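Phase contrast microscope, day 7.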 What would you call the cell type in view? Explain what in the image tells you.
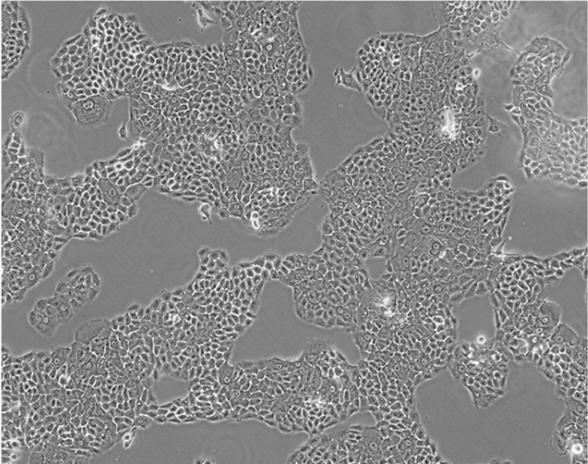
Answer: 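Polygonal cells packed tightly side by side in a cobblestone sheet. Cells grow as irregular confluent islands with bare gaps between them. That points to this answer: epithelial cells.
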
